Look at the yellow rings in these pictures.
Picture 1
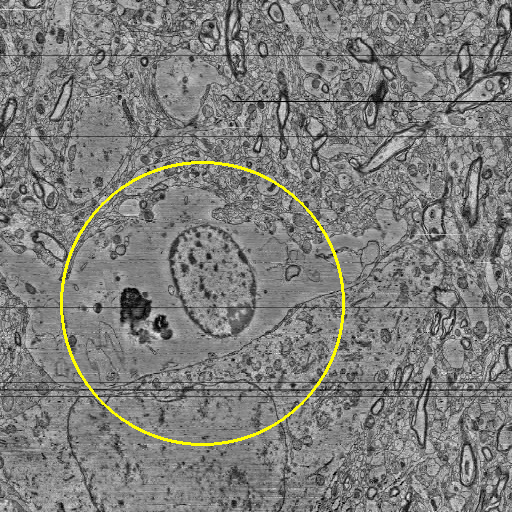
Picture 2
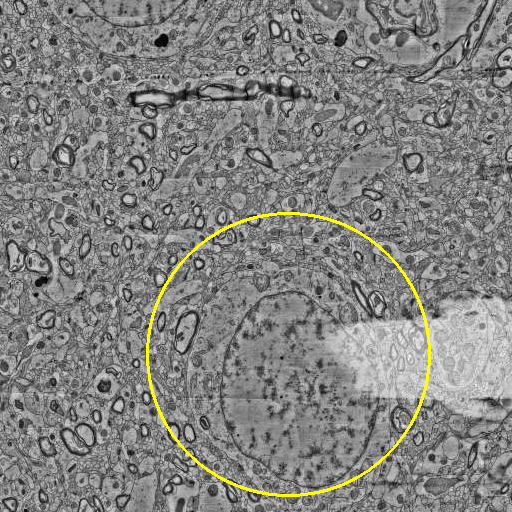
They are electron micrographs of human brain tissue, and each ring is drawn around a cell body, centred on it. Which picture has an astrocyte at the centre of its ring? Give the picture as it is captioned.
Picture 1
